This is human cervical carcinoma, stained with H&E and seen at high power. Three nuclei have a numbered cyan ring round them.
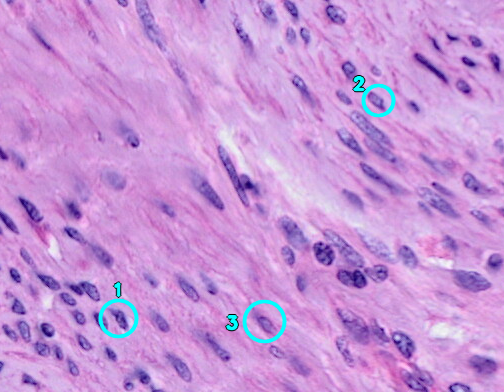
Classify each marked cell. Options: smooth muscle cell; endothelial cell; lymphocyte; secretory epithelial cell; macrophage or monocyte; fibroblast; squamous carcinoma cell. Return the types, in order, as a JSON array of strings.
["fibroblast", "smooth muscle cell", "smooth muscle cell"]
